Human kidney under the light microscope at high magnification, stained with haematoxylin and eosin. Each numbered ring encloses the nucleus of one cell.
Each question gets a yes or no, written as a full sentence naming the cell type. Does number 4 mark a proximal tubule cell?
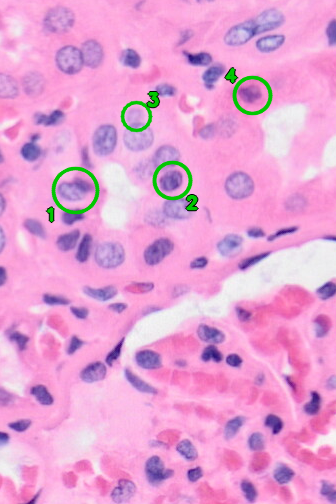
Yes, the marked cell number 4 is a proximal tubule cell.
